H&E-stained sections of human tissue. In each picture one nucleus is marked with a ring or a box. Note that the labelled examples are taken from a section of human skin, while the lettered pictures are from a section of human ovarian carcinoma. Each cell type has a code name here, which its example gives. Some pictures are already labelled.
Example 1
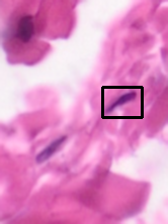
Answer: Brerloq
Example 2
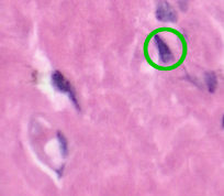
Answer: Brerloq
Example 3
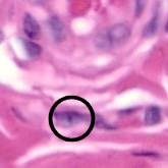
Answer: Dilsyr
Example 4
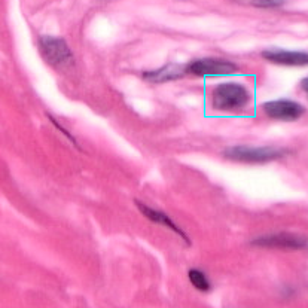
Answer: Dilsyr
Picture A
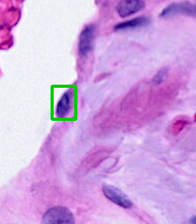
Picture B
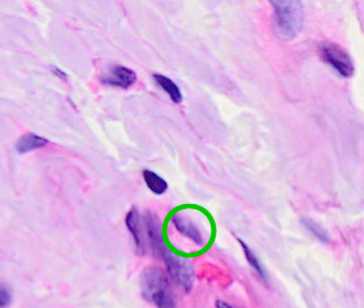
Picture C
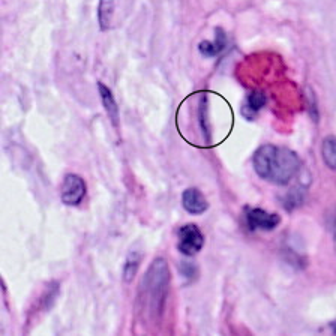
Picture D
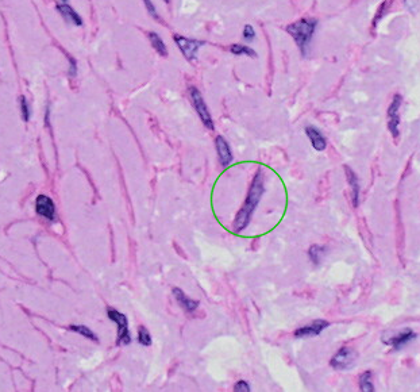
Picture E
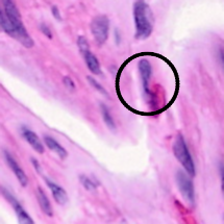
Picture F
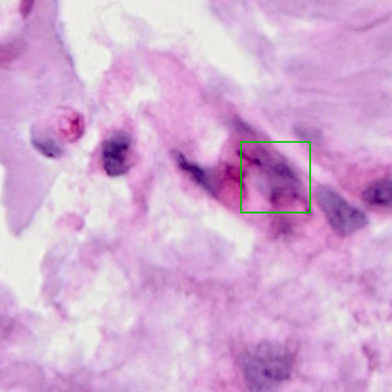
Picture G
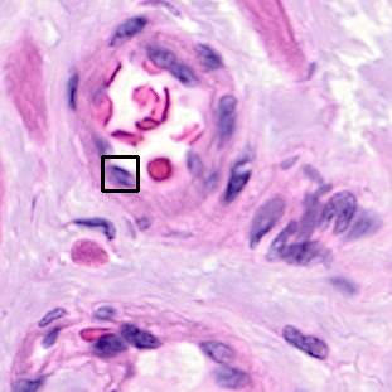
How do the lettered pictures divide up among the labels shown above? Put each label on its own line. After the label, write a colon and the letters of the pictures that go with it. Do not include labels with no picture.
Brerloq: D
Dilsyr: A, B, C, E, F, G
